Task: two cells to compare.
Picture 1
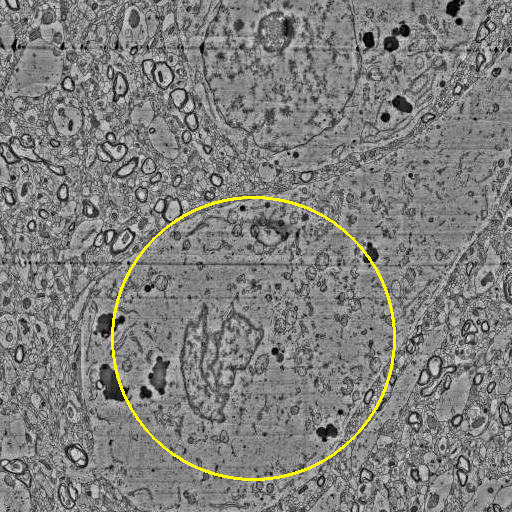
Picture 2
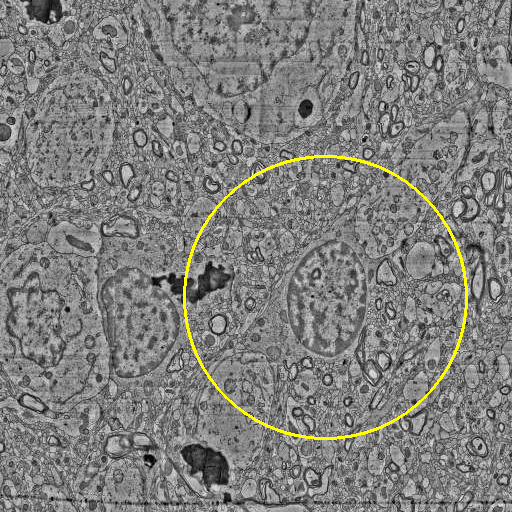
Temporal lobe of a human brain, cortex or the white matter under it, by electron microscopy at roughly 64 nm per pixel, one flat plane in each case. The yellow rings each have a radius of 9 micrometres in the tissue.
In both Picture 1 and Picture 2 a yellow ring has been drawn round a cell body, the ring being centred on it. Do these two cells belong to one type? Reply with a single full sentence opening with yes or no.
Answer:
No, the two cells at the ring centres in Picture 1 and Picture 2 are of two types.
